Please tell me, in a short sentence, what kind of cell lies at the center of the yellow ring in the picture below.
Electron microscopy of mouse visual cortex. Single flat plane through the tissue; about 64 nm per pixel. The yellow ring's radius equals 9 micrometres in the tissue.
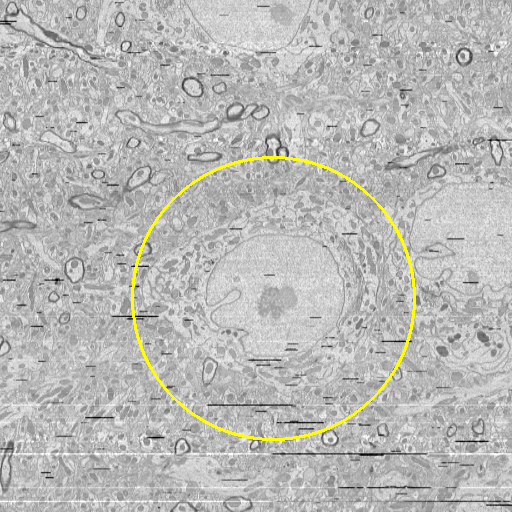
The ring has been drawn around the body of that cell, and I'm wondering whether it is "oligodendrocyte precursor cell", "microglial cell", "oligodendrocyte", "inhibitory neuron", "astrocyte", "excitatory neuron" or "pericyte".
The cell at the center of the ring is an inhibitory neuron.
